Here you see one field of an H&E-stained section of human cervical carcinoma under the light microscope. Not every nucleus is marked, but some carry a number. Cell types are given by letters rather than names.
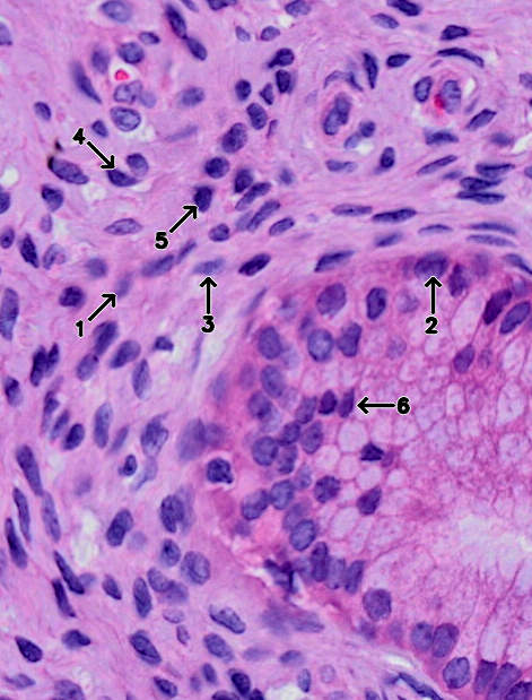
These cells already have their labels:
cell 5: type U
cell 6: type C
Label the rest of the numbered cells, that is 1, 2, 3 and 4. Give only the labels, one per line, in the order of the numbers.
type U
type C
type U
type U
